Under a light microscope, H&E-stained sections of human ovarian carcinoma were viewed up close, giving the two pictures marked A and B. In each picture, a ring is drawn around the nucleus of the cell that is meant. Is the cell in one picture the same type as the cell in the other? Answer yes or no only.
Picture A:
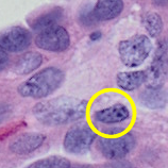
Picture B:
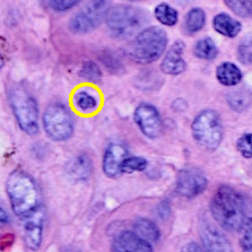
no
